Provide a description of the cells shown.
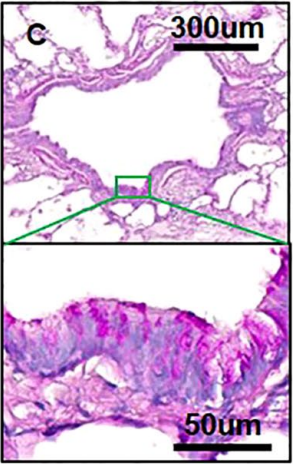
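Small airway of lung with its epithelial lining, surrounded by thin-walled alveolar spaces. At low power the lumen is irregular and the wall is thin, with pink connective tissue around it. At high power the lining is a tall, crowded columnar layer. Many of its cells contain bright magenta material toward the luminal side. Blue-purple nuclei are packed in the lower part of the layer, above pink connective tissue.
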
